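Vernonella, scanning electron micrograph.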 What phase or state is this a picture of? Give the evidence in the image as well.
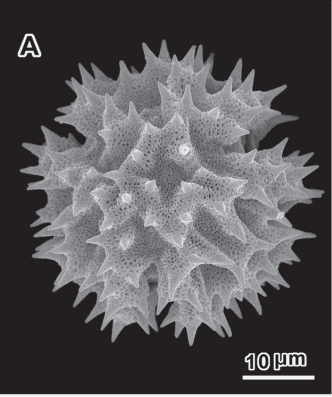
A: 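Sublophate-echinolophate pollen. A single spherical grain covered with many sharp spines. Spines are joined in places by low ridges enclosing shallow depressions. The surface between spines is finely perforated.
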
